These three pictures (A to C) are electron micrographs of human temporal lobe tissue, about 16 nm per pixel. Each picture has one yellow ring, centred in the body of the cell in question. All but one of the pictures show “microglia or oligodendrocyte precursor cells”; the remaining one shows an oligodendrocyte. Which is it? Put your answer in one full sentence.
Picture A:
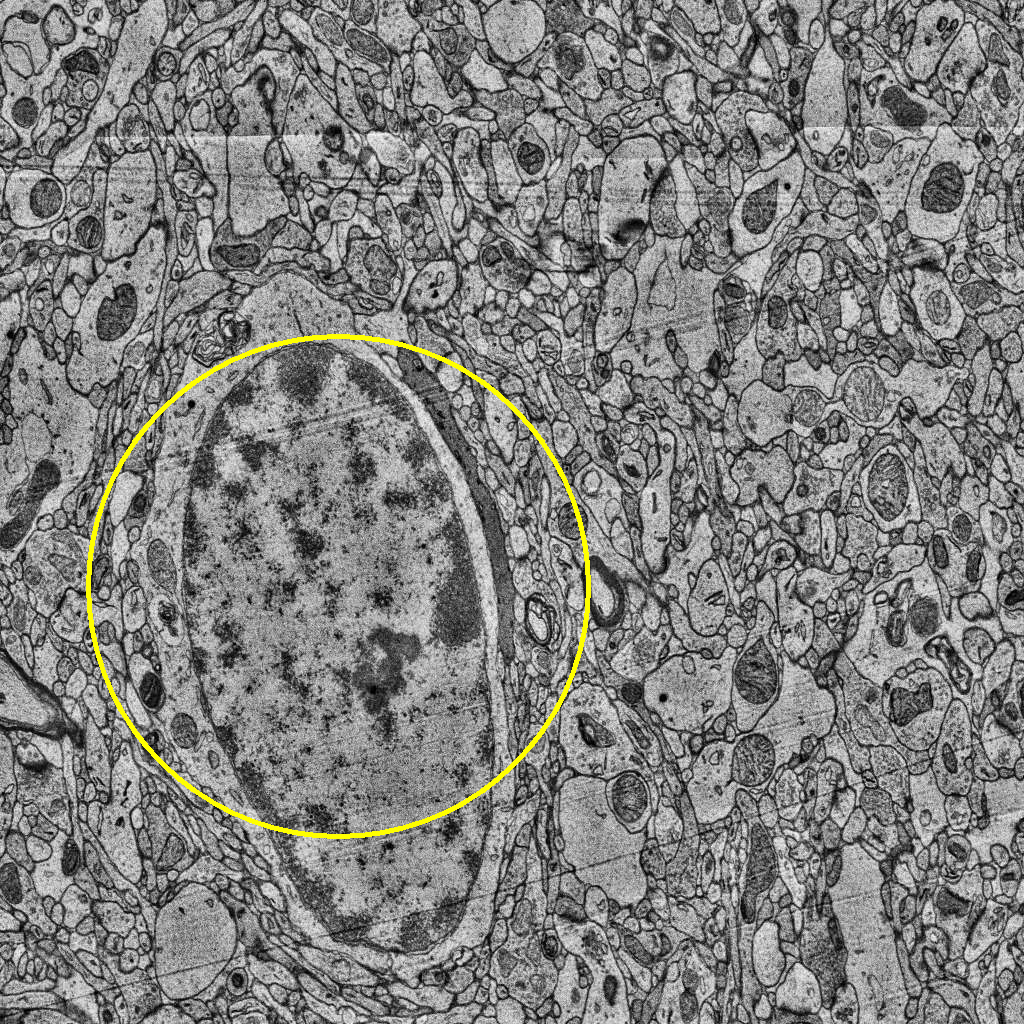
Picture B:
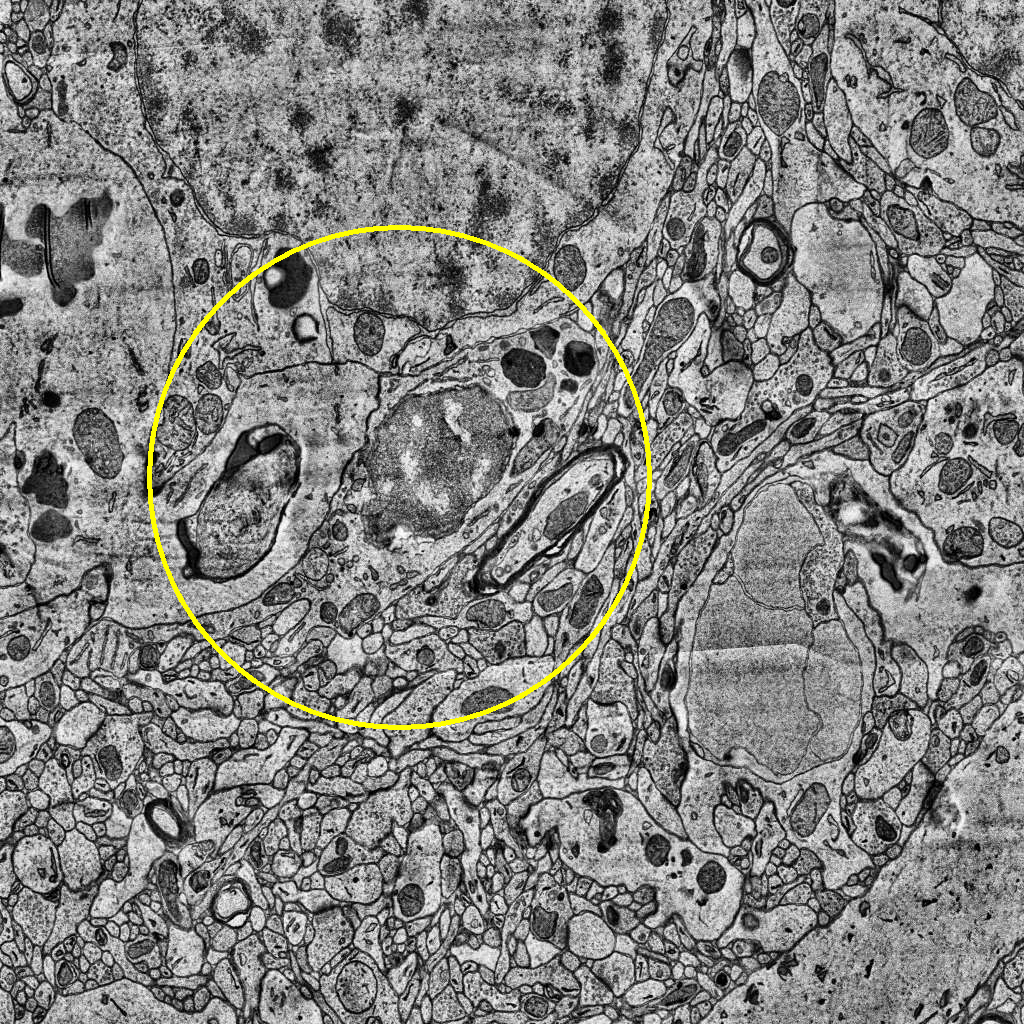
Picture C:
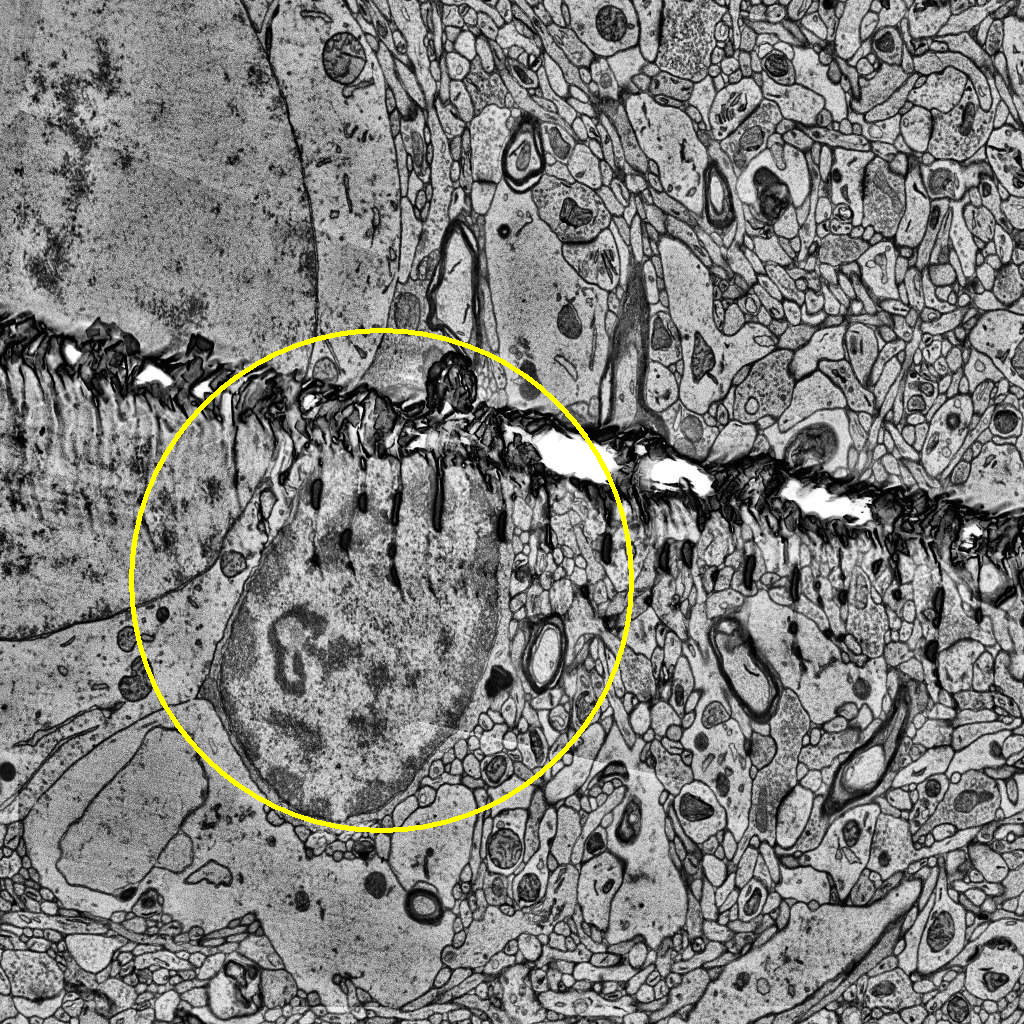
Picture C shows the oligodendrocyte.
